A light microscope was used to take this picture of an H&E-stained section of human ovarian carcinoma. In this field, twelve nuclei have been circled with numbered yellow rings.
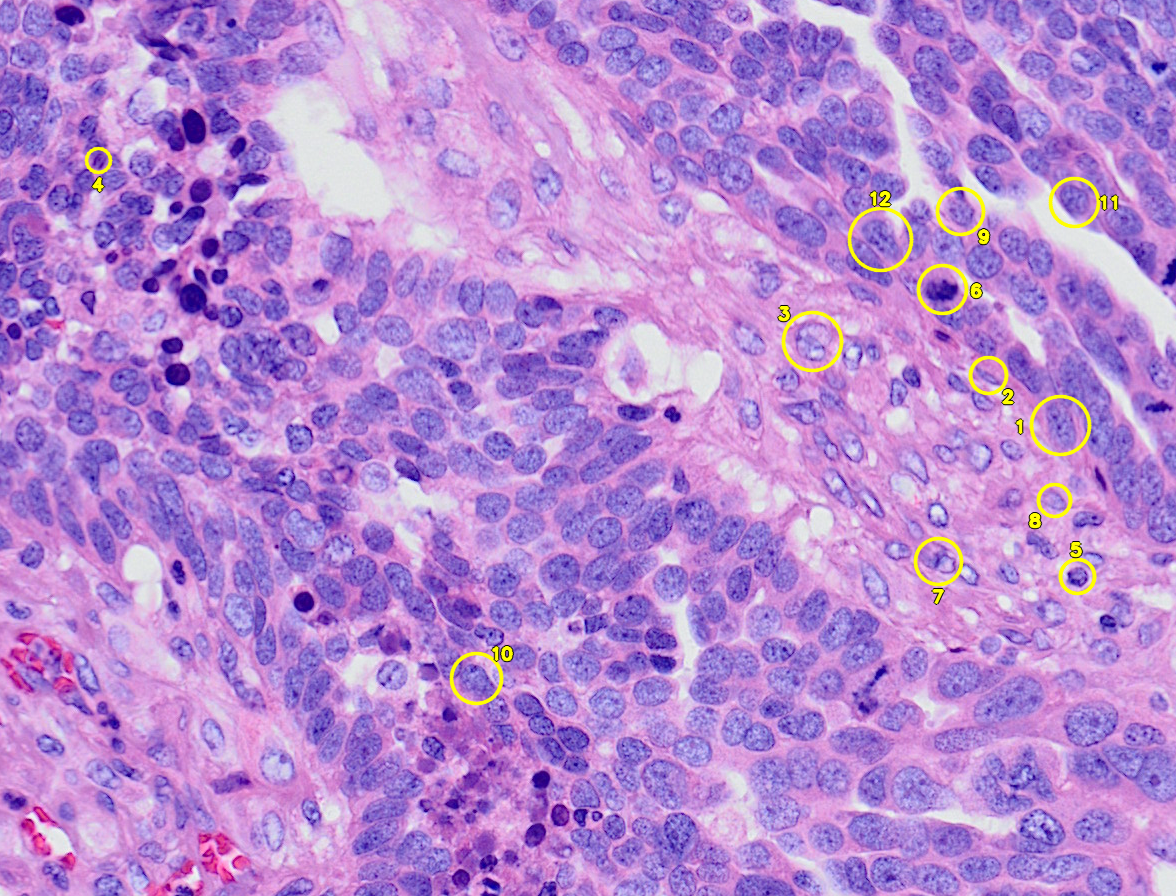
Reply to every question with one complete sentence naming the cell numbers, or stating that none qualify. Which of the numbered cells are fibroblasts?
In short, the numbered cells 2, 3, 7 and 8 are fibroblasts.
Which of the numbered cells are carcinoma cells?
In this section, the cells labelled 1, 4, 6, 9, 10, 11 and 12 are carcinoma cells.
